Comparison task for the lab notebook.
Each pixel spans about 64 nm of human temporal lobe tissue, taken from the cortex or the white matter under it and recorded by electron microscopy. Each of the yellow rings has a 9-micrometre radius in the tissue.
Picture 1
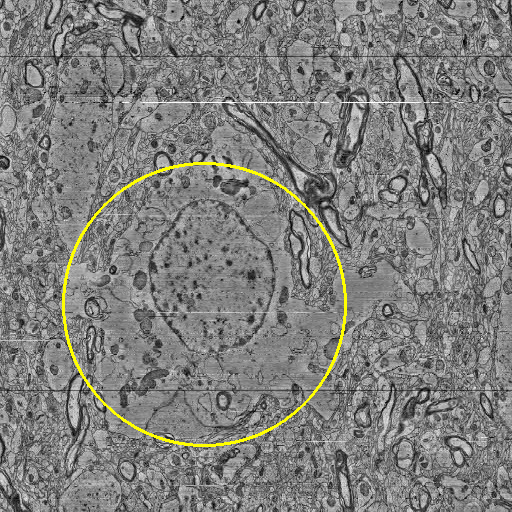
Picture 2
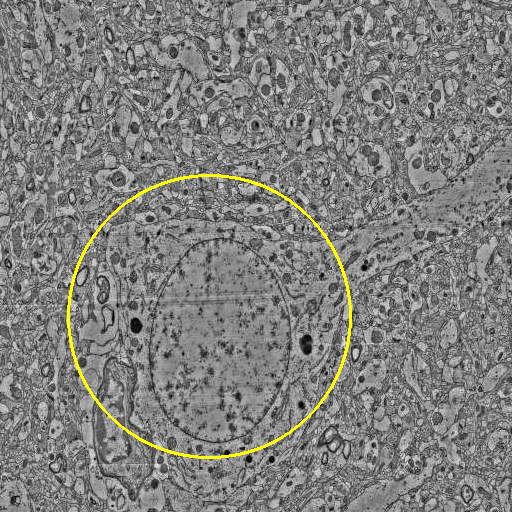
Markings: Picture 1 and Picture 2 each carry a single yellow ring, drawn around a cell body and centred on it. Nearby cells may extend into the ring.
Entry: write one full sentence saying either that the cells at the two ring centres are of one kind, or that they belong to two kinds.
The cells sitting at the ring centres in Picture 1 and Picture 2 belong to two kinds.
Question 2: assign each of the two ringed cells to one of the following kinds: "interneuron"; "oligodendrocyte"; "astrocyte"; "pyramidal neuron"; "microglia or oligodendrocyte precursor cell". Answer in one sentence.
The two cells are an astrocyte in the first picture and a pyramidal neuron in the second.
